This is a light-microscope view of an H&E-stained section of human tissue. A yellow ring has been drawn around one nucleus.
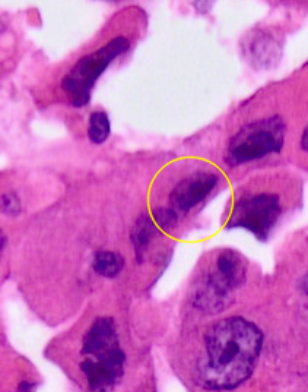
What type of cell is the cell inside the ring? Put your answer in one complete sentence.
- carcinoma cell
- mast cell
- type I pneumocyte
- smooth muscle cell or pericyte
The cell meant here is a carcinoma cell.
